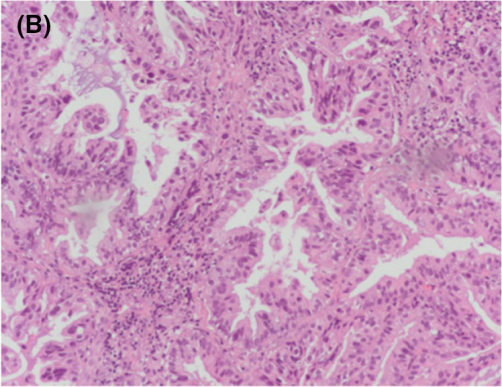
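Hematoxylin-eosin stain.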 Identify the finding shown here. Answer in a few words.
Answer: glandular malignant neoplasia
